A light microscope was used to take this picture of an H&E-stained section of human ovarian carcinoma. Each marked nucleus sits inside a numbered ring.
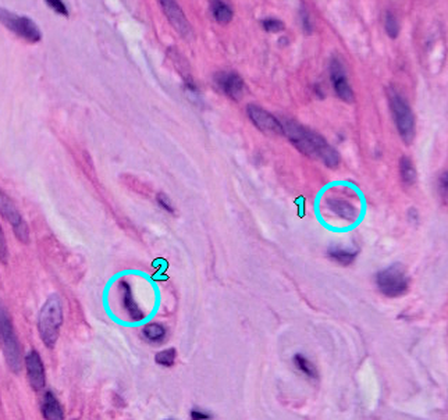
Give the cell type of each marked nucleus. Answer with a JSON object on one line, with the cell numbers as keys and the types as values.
{"1": "smooth muscle cell", "2": "endothelial cell"}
